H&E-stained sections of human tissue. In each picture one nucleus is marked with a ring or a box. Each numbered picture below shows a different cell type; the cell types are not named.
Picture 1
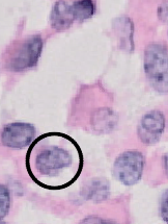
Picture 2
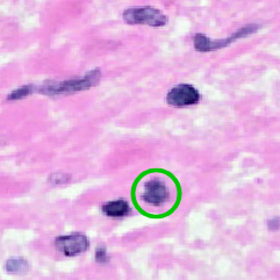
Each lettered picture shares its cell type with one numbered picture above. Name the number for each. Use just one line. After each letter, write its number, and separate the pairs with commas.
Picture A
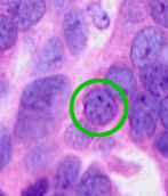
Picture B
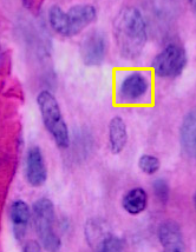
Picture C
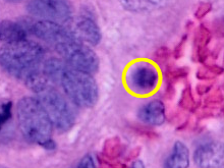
A 1, B 2, C 2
